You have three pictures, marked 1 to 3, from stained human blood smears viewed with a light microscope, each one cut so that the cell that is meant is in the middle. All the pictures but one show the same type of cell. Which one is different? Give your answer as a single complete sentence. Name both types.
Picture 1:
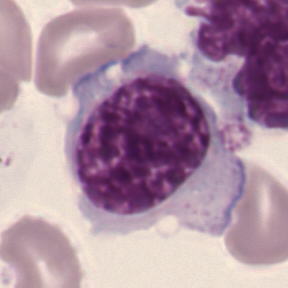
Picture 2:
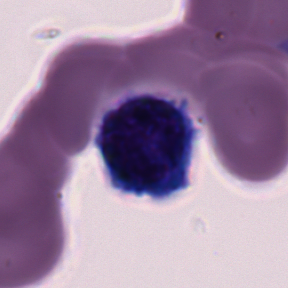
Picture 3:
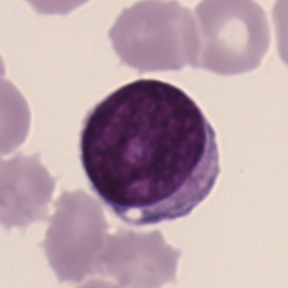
Unlike the rest, which show plasma cells, picture 3 shows a myeloblast.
